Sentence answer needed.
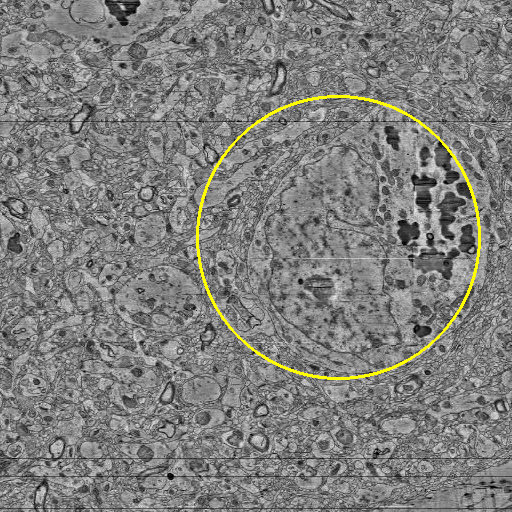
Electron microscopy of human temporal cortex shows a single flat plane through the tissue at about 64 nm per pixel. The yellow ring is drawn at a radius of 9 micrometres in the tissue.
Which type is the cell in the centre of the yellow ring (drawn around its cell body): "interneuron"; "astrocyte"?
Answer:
In the centre of the yellow ring is an interneuron.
